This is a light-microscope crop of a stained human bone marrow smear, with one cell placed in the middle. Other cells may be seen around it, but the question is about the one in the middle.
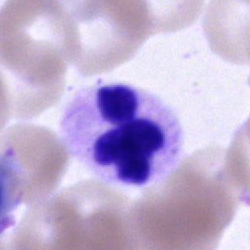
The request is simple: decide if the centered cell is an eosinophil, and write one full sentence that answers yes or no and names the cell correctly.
No, looking at the central cell, it is a segmented neutrophil rather than an eosinophil.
